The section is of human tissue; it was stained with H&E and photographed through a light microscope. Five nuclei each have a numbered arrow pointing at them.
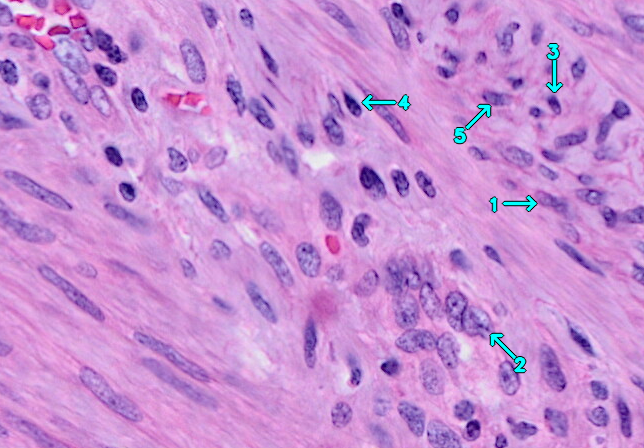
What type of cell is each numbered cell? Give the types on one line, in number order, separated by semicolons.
smooth muscle cell; endothelial cell; smooth muscle cell; lymphocyte; smooth muscle cell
